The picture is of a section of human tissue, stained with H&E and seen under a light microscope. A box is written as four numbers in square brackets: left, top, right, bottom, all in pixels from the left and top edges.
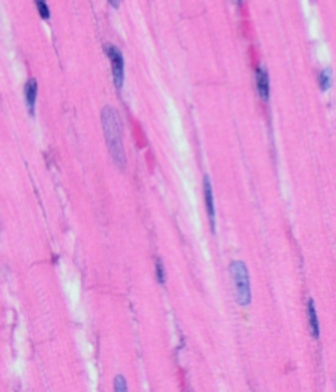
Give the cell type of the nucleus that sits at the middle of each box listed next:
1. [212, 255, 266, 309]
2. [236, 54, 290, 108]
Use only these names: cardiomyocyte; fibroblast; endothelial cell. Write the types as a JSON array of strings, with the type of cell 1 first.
["cardiomyocyte", "endothelial cell"]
